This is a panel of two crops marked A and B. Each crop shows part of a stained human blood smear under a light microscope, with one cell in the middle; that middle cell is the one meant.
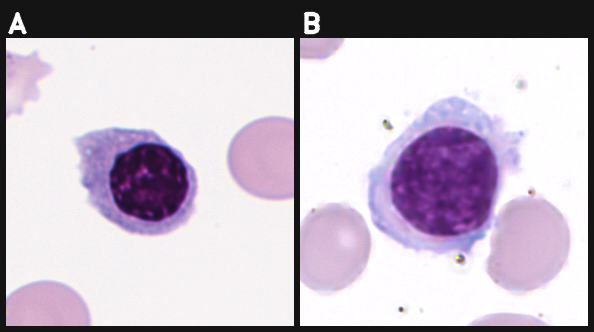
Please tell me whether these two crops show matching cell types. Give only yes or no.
no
